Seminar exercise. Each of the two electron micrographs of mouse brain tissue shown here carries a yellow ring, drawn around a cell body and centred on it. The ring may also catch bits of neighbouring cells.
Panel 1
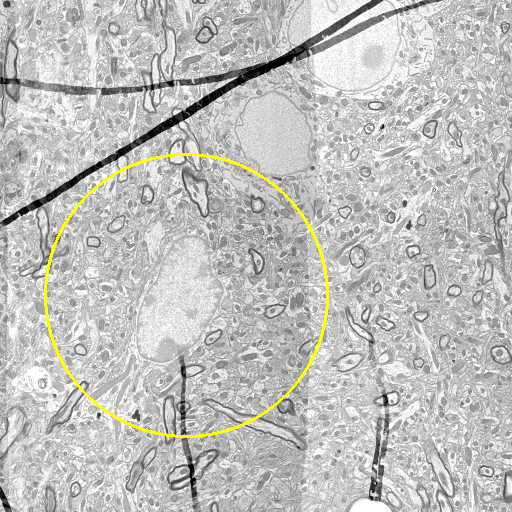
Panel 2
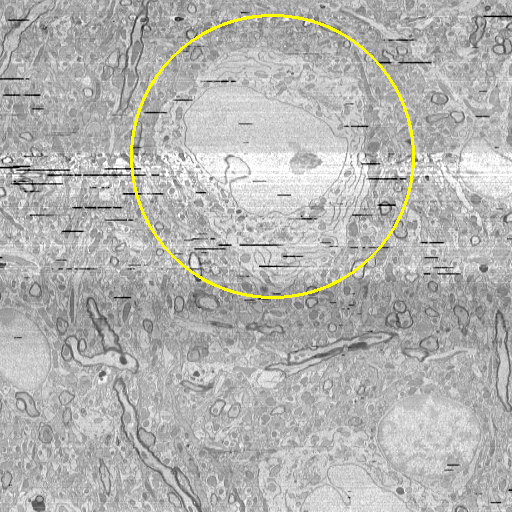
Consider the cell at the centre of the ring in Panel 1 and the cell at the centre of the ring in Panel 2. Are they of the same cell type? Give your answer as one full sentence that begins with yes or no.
No, the two cells are of two types.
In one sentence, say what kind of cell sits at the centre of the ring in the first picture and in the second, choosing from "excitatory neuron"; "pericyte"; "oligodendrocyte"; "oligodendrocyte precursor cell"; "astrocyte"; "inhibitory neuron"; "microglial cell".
The first picture's ringed cell is an astrocyte, while the second picture's is an excitatory neuron.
